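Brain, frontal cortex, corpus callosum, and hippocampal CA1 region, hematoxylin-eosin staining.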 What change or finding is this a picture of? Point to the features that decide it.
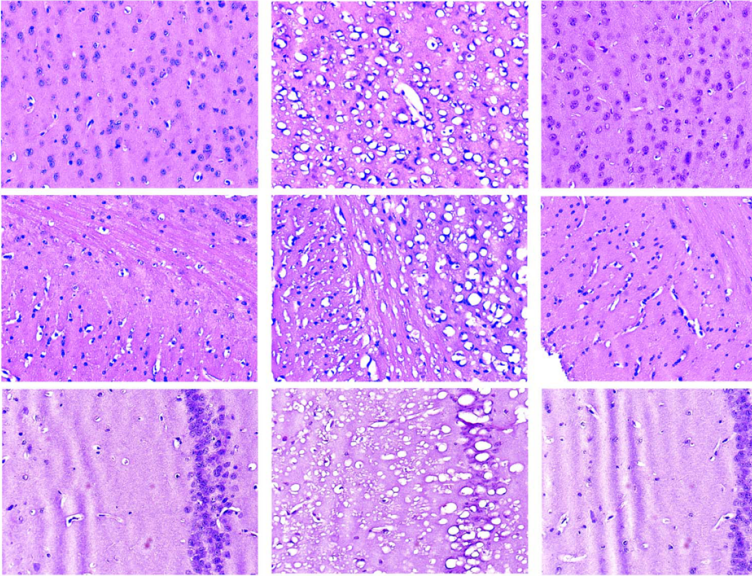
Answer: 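The middle column of images is filled with many round, clear, empty-looking holes. The left and right columns show few such holes. That points to this answer: vacuoles.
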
